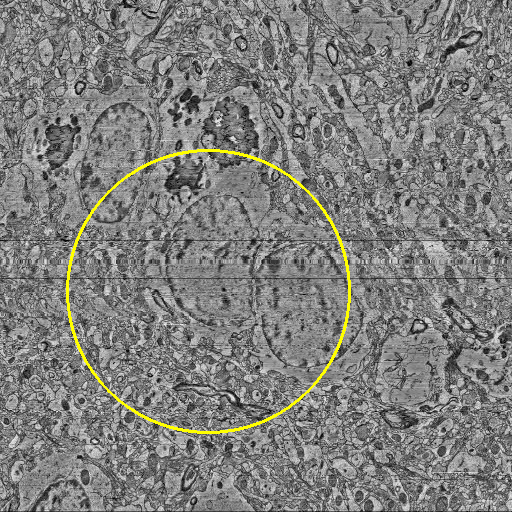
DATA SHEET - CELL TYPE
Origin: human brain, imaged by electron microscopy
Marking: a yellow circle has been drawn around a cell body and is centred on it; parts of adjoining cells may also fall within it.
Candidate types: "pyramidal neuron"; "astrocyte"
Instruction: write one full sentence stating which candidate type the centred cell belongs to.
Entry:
The cell body at the centre of the yellow ring in this micrograph belongs to an astrocyte.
